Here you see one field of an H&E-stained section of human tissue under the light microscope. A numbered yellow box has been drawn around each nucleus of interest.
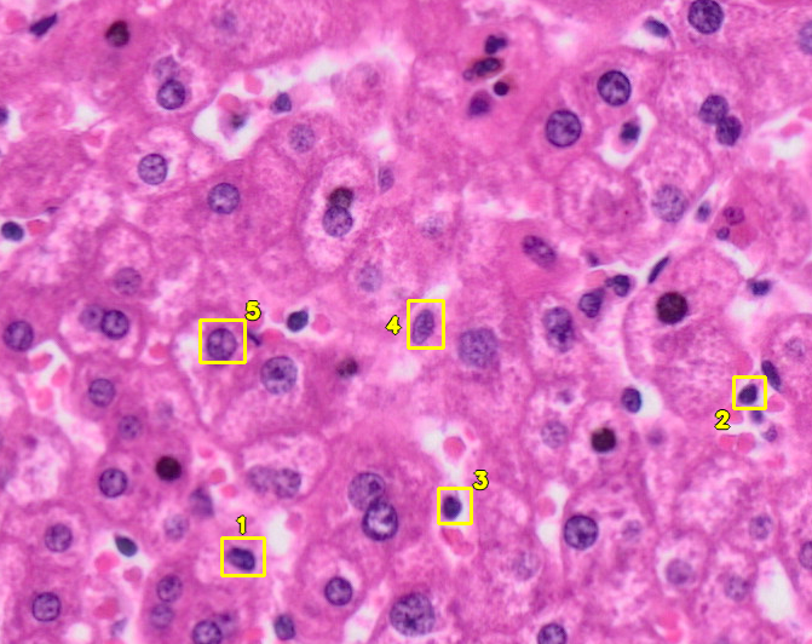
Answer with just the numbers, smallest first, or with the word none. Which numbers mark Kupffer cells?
4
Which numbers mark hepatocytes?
5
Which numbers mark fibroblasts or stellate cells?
1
